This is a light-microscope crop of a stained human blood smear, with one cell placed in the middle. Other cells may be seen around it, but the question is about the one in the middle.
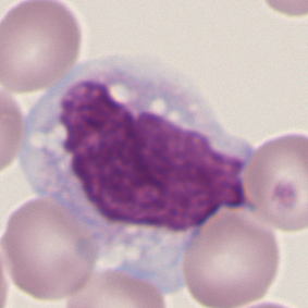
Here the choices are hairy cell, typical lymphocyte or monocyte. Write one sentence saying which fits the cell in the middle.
For this crop, the central cell is a monocyte.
